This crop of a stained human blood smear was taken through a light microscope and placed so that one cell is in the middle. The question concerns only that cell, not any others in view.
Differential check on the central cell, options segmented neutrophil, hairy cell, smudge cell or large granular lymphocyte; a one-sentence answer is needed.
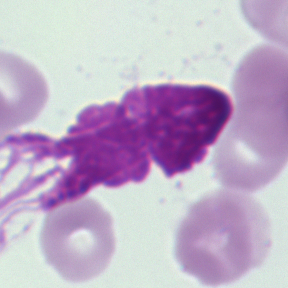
On this slide crop, the central cell is a smudge cell.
